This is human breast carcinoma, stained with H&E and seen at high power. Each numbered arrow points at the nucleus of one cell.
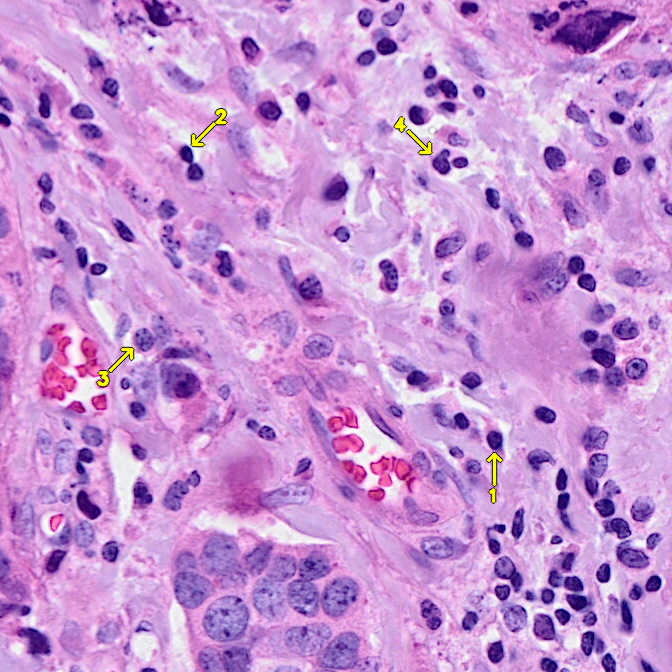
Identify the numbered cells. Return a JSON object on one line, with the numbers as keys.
{"1": "lymphocyte", "2": "lymphocyte", "3": "mast cell", "4": "lymphocyte"}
